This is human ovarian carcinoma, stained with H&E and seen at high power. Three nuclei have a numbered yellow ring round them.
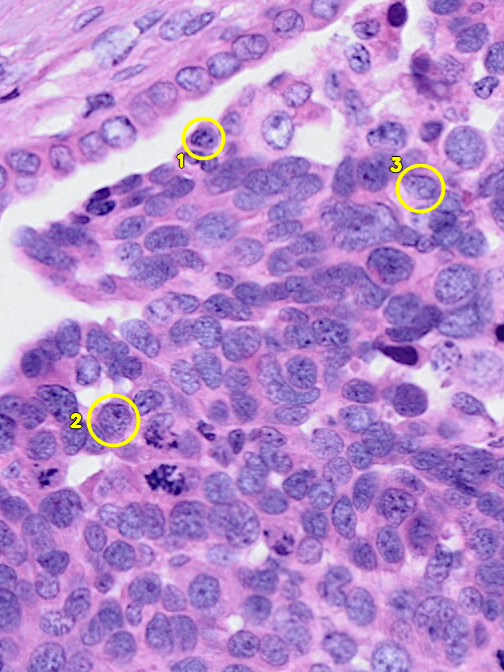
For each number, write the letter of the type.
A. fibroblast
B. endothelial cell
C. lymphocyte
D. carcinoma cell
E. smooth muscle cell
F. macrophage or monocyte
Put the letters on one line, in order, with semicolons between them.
F; D; D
